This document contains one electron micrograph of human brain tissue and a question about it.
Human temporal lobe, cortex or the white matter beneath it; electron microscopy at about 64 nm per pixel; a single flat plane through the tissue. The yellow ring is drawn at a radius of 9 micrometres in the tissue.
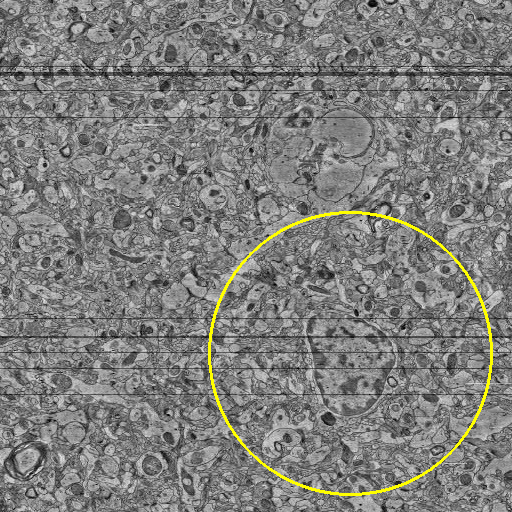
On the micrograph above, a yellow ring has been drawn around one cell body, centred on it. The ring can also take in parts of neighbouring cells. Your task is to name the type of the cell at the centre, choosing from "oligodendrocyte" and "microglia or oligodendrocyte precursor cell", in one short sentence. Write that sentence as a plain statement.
Here the ring is centred on a microglial cell or oligodendrocyte precursor cell.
